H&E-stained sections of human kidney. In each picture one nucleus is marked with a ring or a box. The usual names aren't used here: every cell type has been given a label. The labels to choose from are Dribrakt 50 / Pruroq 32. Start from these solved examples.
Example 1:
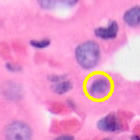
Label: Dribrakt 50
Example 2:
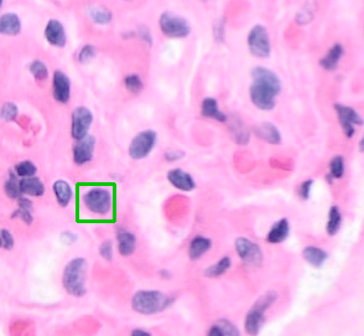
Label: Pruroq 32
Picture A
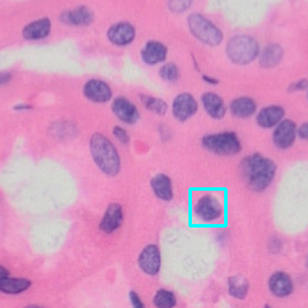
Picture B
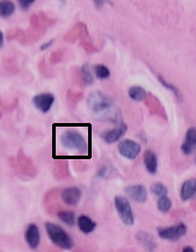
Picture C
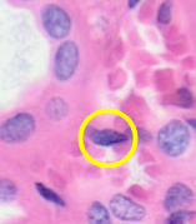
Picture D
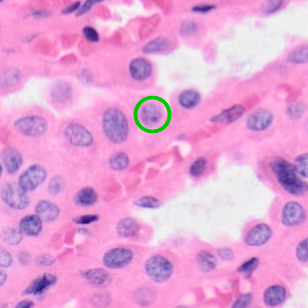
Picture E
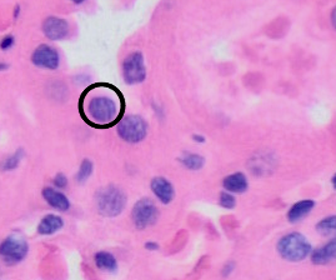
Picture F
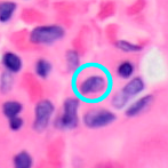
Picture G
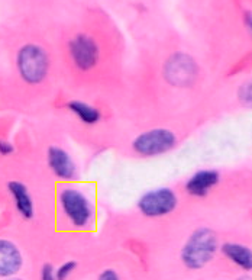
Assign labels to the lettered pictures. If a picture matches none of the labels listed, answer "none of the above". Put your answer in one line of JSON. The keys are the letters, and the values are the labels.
{"A": "Dribrakt 50", "B": "Pruroq 32", "C": "Pruroq 32", "D": "Dribrakt 50", "E": "Dribrakt 50", "F": "Pruroq 32", "G": "Dribrakt 50"}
